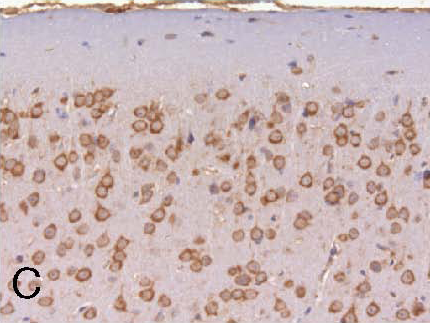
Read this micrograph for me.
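This is a section of cerebral cortex cut perpendicular to the surface, with a thin brown-edged membrane along the top. Beneath the surface lies a pale, cell-sparse band containing only a few small scattered nuclei. Deeper, numerous rounded to slightly angular cell bodies are densely packed, each with brown-stained cytoplasm surrounding a paler, round, blue-purple nucleus. Small elongated or oval dark blue nuclei without a brown rim lie scattered among the larger cells. The background between the cells is a finely fibrillar, light brown neuropil crossed by a few thin vessels.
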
